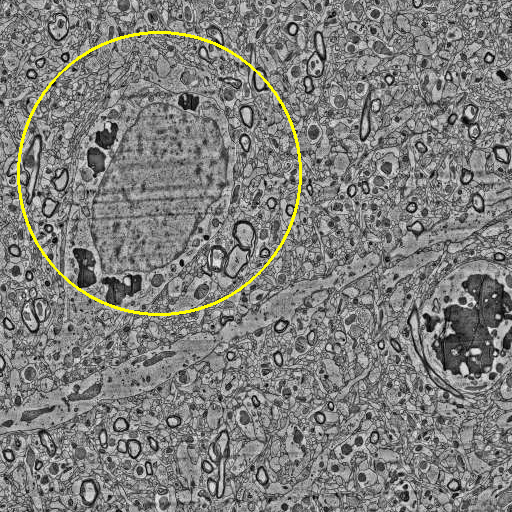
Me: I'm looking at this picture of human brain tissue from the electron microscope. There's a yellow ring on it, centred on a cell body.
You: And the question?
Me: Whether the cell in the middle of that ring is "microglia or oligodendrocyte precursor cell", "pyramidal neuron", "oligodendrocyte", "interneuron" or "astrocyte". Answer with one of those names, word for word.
interneuron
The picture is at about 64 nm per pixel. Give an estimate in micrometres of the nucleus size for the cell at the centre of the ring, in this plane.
Roughly 12 micrometres long and 7 micrometres wide; in this plane the nucleus is clearly longer than it is wide.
